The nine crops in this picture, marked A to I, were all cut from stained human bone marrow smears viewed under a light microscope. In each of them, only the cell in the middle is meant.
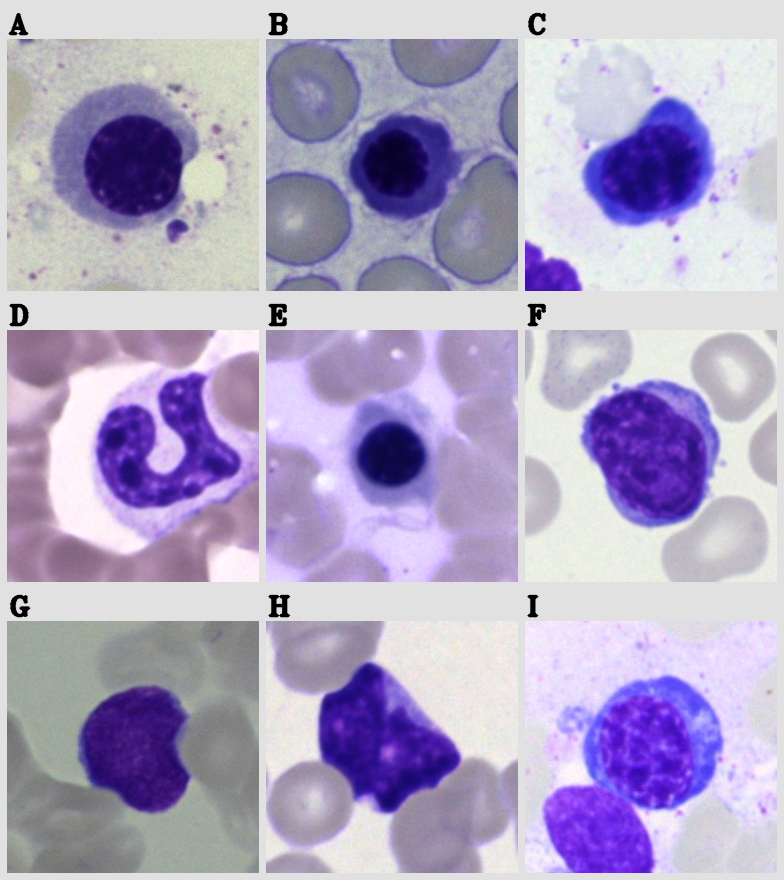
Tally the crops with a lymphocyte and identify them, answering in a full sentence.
There is no crop that shows lymphocytes, so the count is zero.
